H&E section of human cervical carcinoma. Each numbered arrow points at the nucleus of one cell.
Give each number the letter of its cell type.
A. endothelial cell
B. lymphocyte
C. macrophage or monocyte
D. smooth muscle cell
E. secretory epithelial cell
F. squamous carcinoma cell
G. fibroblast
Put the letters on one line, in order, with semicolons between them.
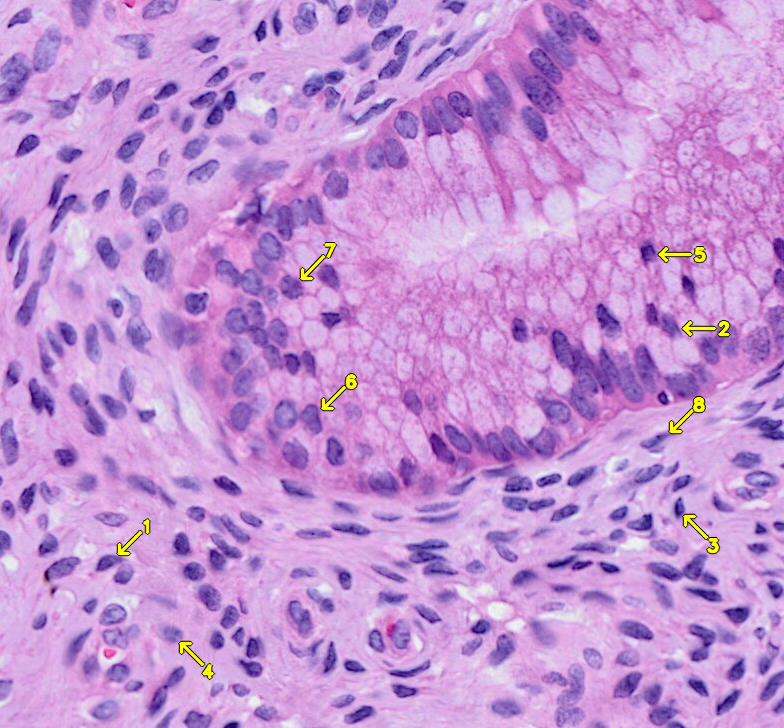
G; E; G; G; E; E; E; G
